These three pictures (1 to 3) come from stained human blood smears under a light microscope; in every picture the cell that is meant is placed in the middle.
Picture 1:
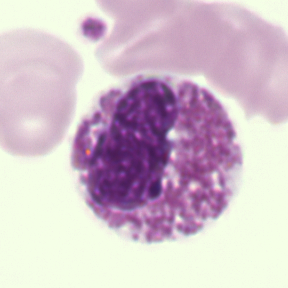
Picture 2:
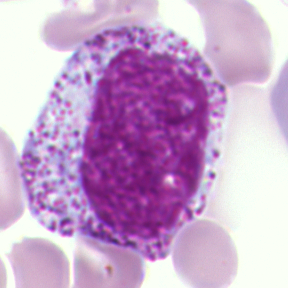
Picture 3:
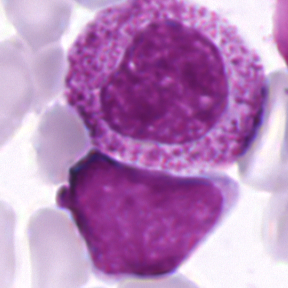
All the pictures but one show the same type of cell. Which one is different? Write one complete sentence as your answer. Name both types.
Unlike the rest, which show myelocytes, picture 1 shows an eosinophil.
